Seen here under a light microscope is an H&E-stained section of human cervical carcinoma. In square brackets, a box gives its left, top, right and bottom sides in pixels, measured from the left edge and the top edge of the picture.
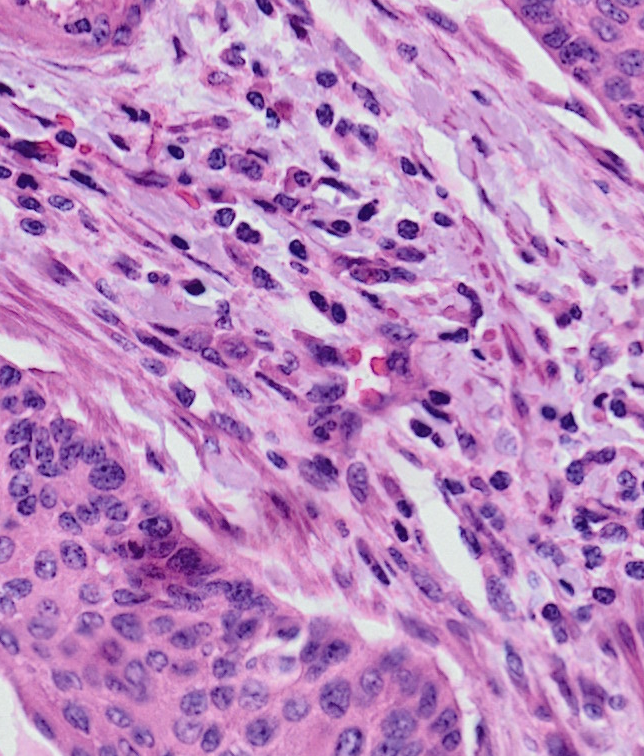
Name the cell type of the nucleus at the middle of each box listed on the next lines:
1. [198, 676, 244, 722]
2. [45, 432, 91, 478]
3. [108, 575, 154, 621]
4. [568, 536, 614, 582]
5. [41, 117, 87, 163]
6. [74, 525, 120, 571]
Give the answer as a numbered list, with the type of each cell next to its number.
1. squamous carcinoma cell
2. squamous carcinoma cell
3. squamous carcinoma cell
4. lymphocyte
5. lymphocyte
6. squamous carcinoma cell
